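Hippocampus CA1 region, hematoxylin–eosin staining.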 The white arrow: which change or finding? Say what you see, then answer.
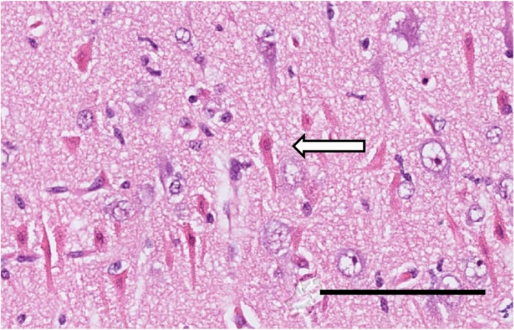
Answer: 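The marked neuron has bright red-pink cytoplasm. Its nucleus is small and dark. It is slender and angular next to paler neurons. The answer: Selective eosinophilic neuronal death.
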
